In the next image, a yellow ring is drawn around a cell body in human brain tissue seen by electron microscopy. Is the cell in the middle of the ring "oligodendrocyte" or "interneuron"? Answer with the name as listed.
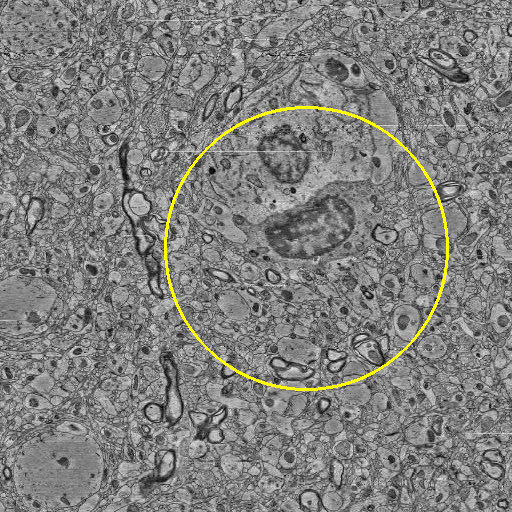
oligodendrocyte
